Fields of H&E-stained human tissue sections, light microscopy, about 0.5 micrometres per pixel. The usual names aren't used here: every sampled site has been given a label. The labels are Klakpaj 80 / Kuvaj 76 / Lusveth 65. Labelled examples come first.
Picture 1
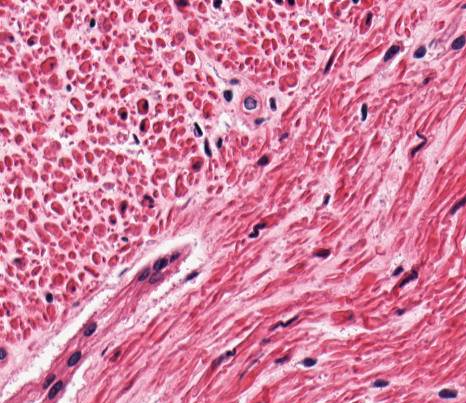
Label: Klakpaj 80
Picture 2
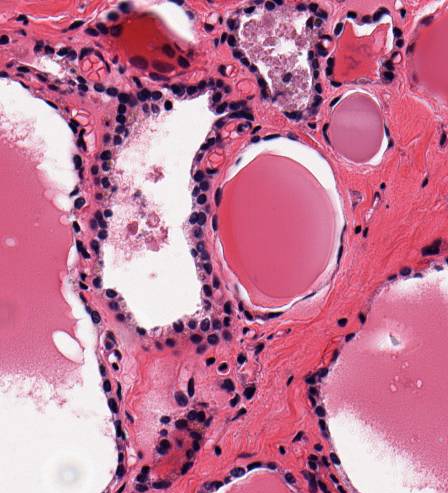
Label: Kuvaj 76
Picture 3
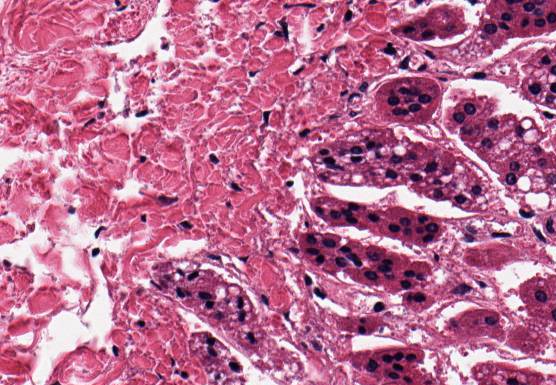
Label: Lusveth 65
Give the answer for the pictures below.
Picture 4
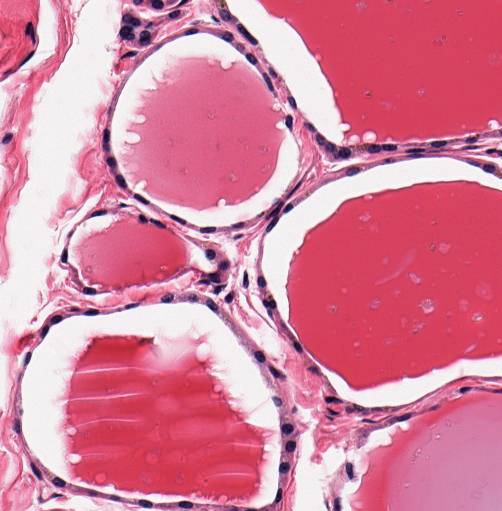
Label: Kuvaj 76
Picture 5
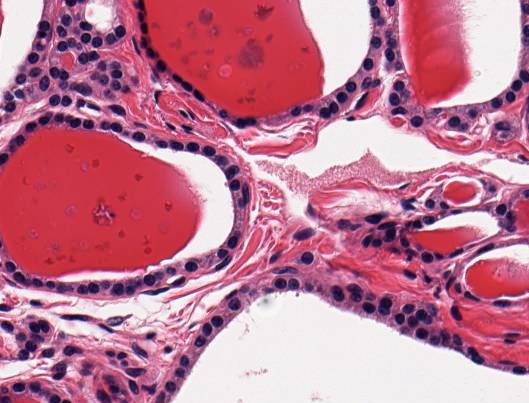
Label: Kuvaj 76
